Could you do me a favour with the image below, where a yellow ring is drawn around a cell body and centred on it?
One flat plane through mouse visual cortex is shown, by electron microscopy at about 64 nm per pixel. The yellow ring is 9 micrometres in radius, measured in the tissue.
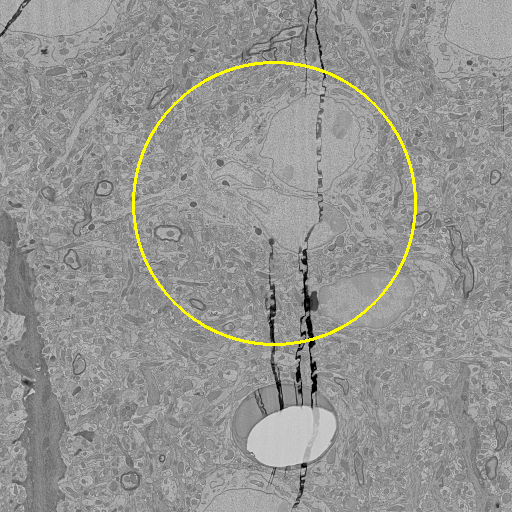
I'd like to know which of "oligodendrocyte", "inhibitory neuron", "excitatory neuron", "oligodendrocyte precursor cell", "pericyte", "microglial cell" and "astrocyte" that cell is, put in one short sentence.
The cell at the ring's centre is an oligodendrocyte precursor cell.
